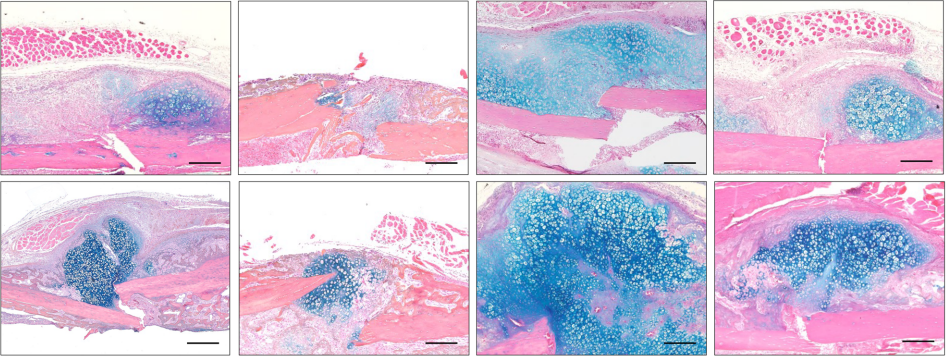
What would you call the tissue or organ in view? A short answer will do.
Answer: fracture callus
